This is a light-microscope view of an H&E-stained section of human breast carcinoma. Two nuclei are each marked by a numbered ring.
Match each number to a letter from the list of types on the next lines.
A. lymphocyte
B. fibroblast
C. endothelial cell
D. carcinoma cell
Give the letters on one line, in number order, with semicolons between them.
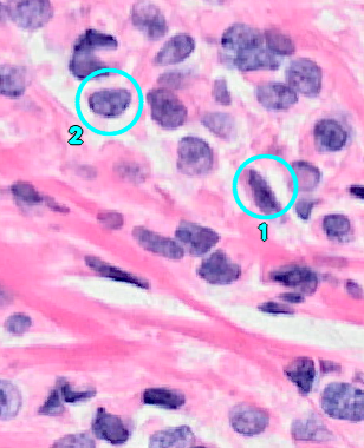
B; D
